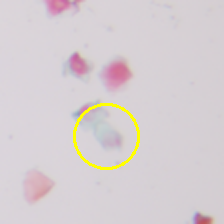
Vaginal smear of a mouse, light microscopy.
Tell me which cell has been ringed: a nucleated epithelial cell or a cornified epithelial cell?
It is a nucleated epithelial cell.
